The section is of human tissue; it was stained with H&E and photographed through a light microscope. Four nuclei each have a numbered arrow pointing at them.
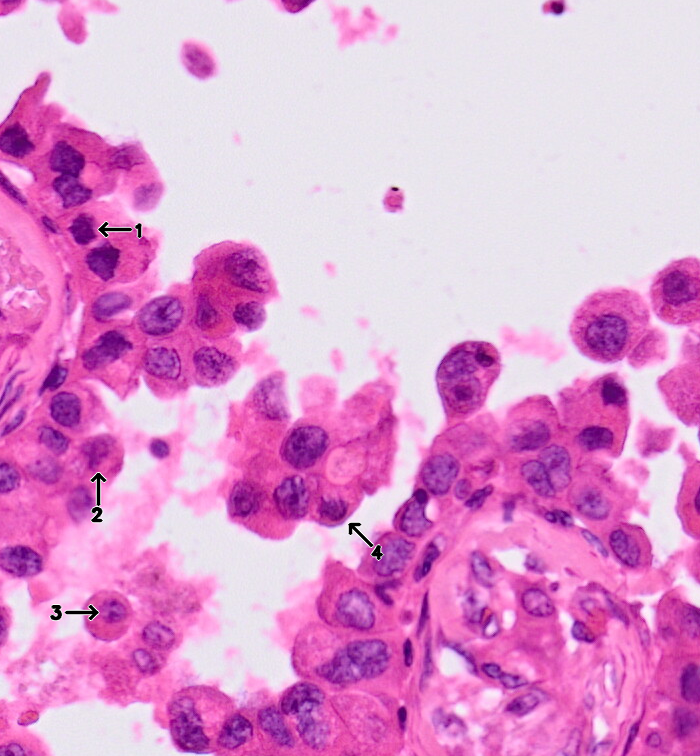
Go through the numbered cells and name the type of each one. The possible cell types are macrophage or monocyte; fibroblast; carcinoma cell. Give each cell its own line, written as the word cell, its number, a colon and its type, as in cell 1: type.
cell 1: carcinoma cell
cell 2: carcinoma cell
cell 3: macrophage or monocyte
cell 4: carcinoma cell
